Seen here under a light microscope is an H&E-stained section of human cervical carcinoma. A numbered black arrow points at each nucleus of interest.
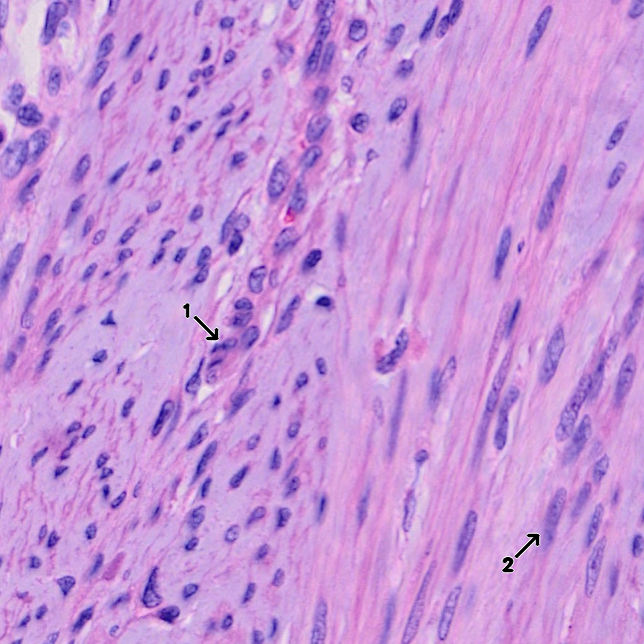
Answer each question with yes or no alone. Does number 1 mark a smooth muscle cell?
no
